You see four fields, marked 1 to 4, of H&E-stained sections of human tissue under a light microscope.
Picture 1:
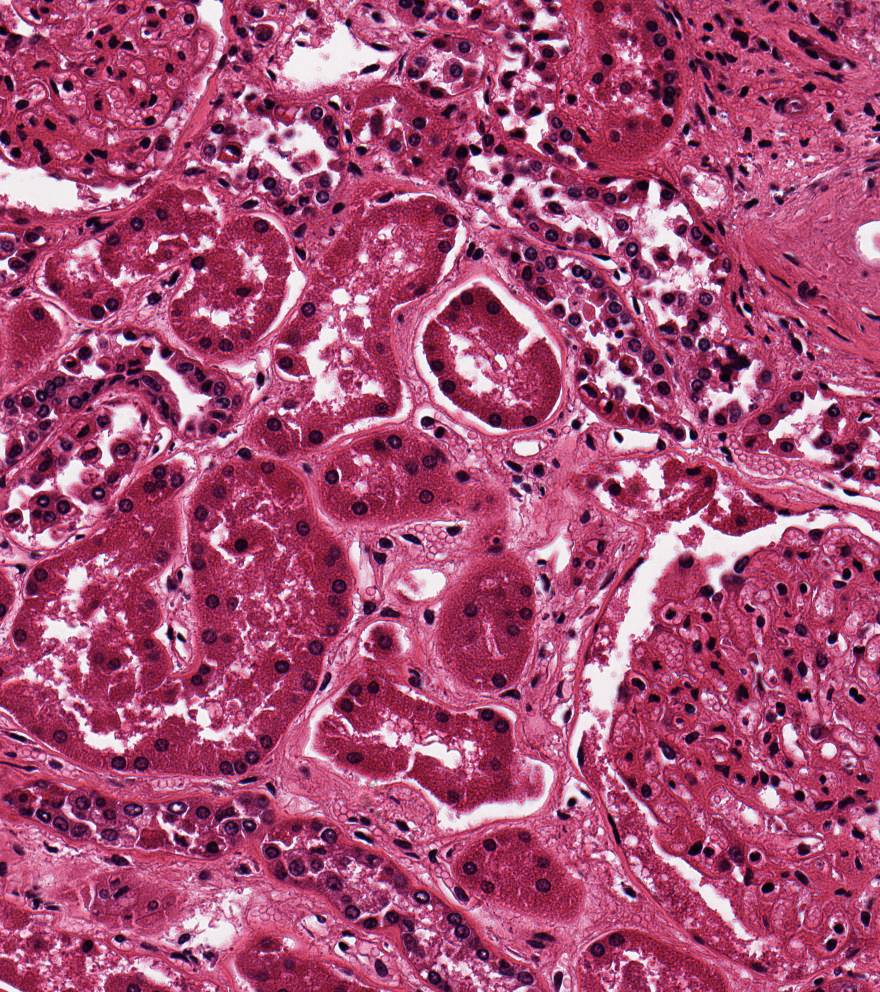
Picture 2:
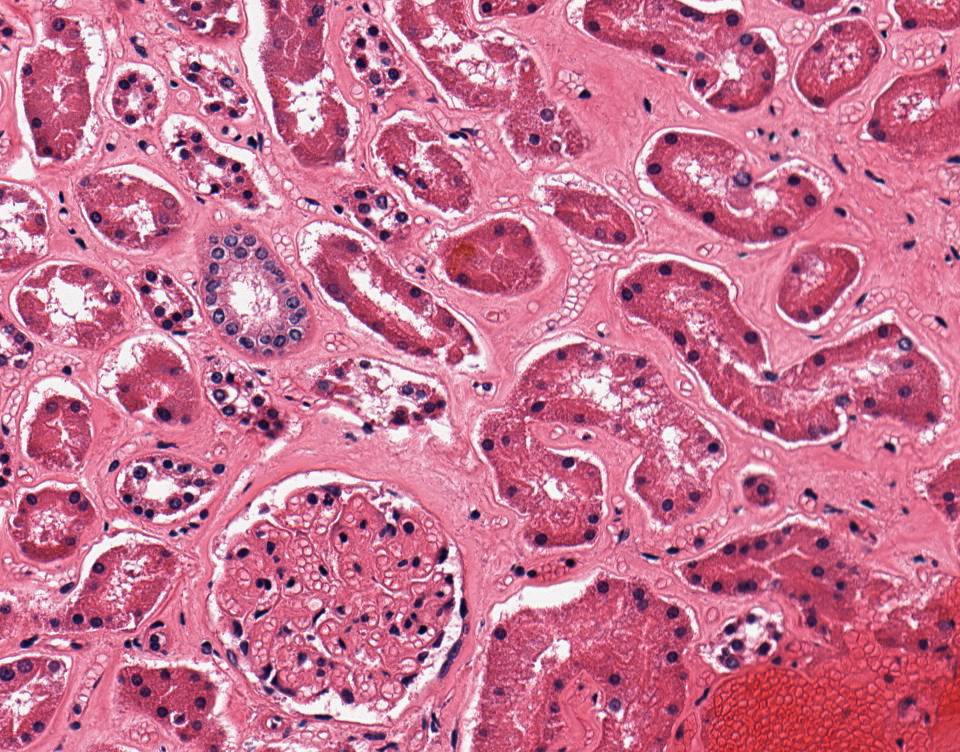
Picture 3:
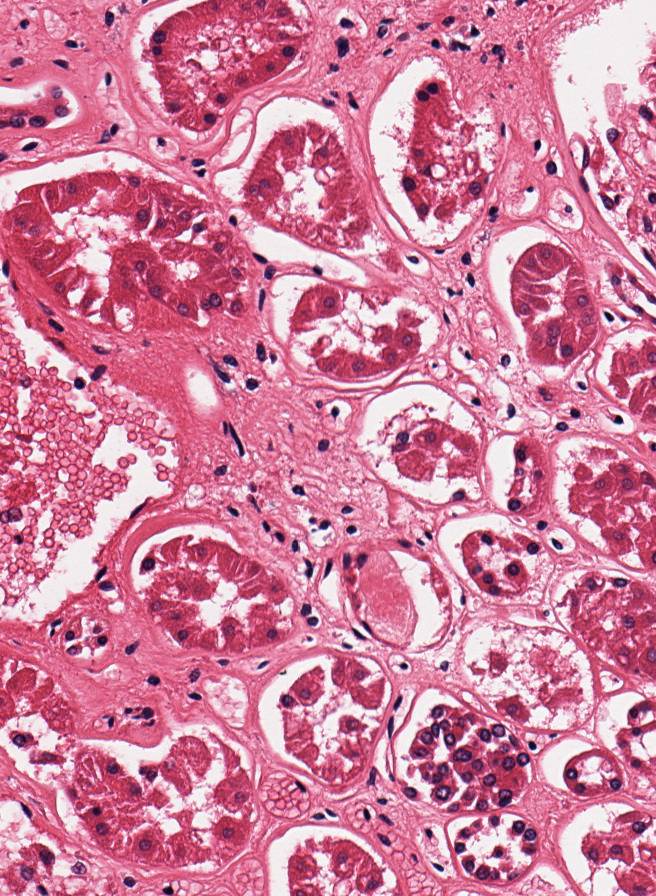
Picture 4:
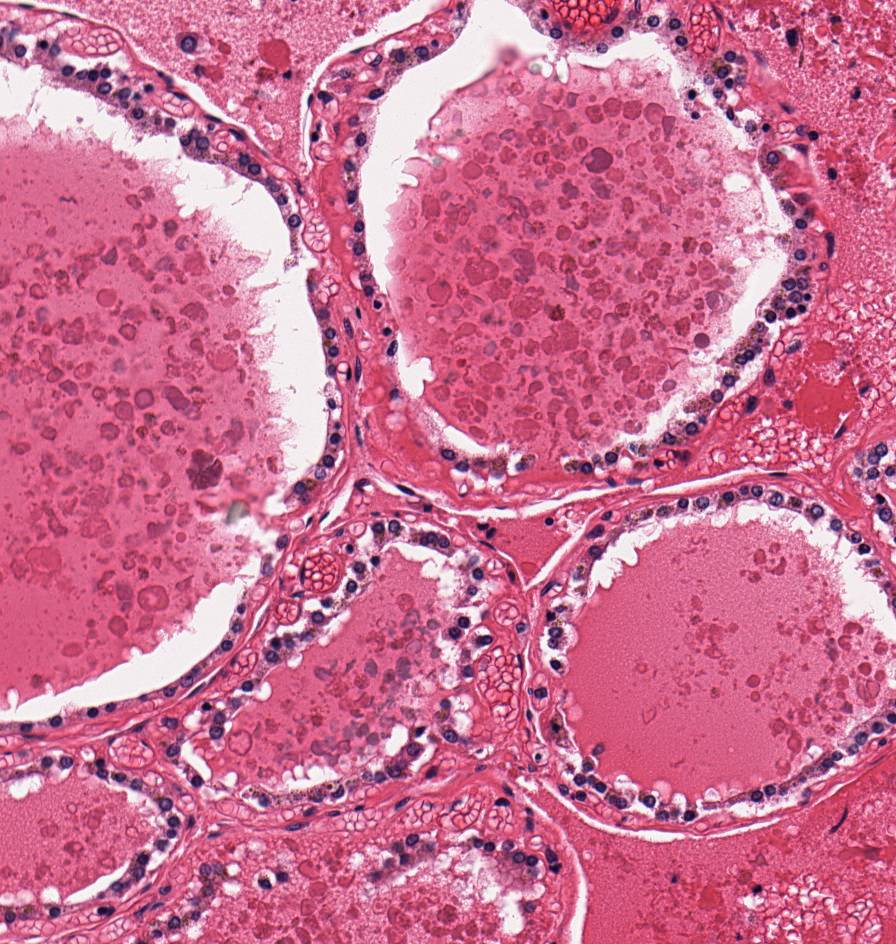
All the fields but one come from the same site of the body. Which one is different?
4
